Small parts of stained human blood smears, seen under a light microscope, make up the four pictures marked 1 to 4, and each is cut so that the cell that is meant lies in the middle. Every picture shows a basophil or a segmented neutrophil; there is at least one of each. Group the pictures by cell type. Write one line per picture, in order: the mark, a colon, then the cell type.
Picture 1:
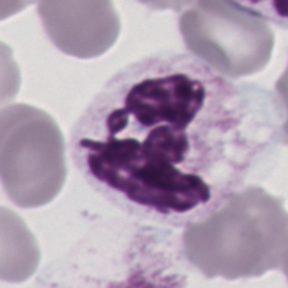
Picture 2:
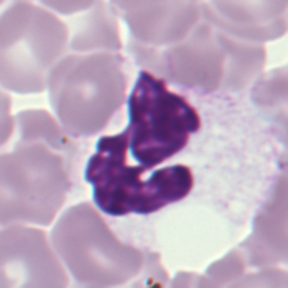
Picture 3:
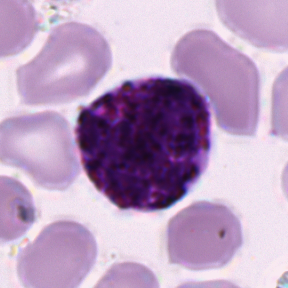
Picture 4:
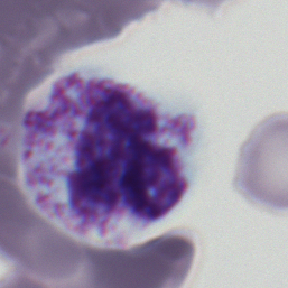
1: segmented neutrophil
2: segmented neutrophil
3: basophil
4: basophil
